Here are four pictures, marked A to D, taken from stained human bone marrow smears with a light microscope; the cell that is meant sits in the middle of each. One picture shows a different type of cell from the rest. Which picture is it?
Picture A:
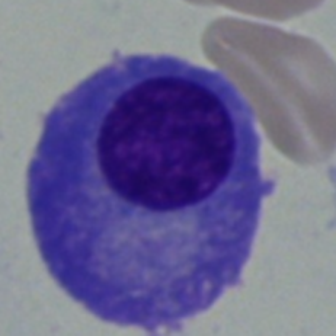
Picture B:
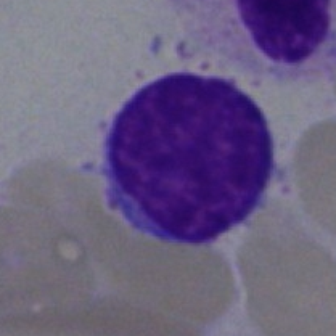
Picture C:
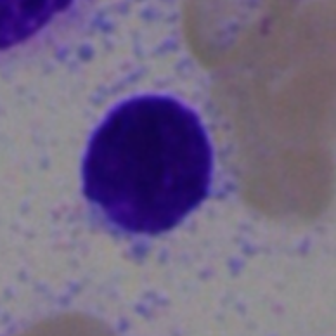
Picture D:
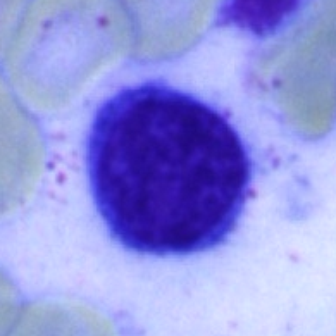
A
